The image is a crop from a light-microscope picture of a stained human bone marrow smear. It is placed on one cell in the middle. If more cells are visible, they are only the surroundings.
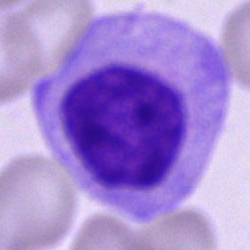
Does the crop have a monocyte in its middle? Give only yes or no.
no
